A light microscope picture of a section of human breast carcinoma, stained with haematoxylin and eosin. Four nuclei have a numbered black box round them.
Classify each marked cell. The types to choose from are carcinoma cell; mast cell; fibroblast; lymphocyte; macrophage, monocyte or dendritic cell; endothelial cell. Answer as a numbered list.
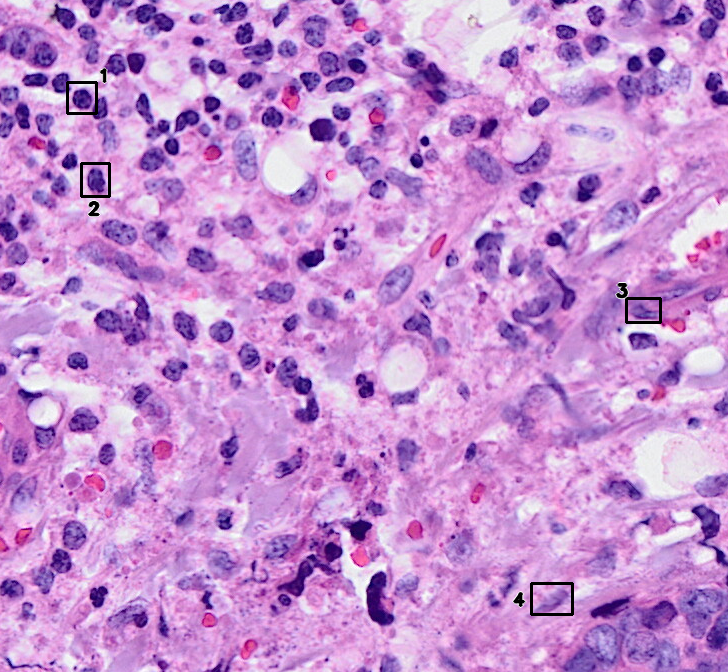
1. lymphocyte
2. lymphocyte
3. endothelial cell
4. fibroblast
